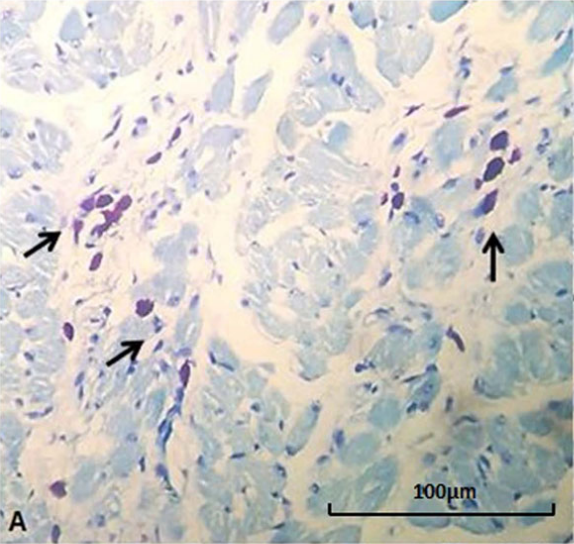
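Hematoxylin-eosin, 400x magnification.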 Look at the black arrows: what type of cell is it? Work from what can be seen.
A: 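The arrowed cells stain deep purple and are round to oval. They sit in the thin connective tissue between cross-cut muscle fibres. On this evidence: mast cells.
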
